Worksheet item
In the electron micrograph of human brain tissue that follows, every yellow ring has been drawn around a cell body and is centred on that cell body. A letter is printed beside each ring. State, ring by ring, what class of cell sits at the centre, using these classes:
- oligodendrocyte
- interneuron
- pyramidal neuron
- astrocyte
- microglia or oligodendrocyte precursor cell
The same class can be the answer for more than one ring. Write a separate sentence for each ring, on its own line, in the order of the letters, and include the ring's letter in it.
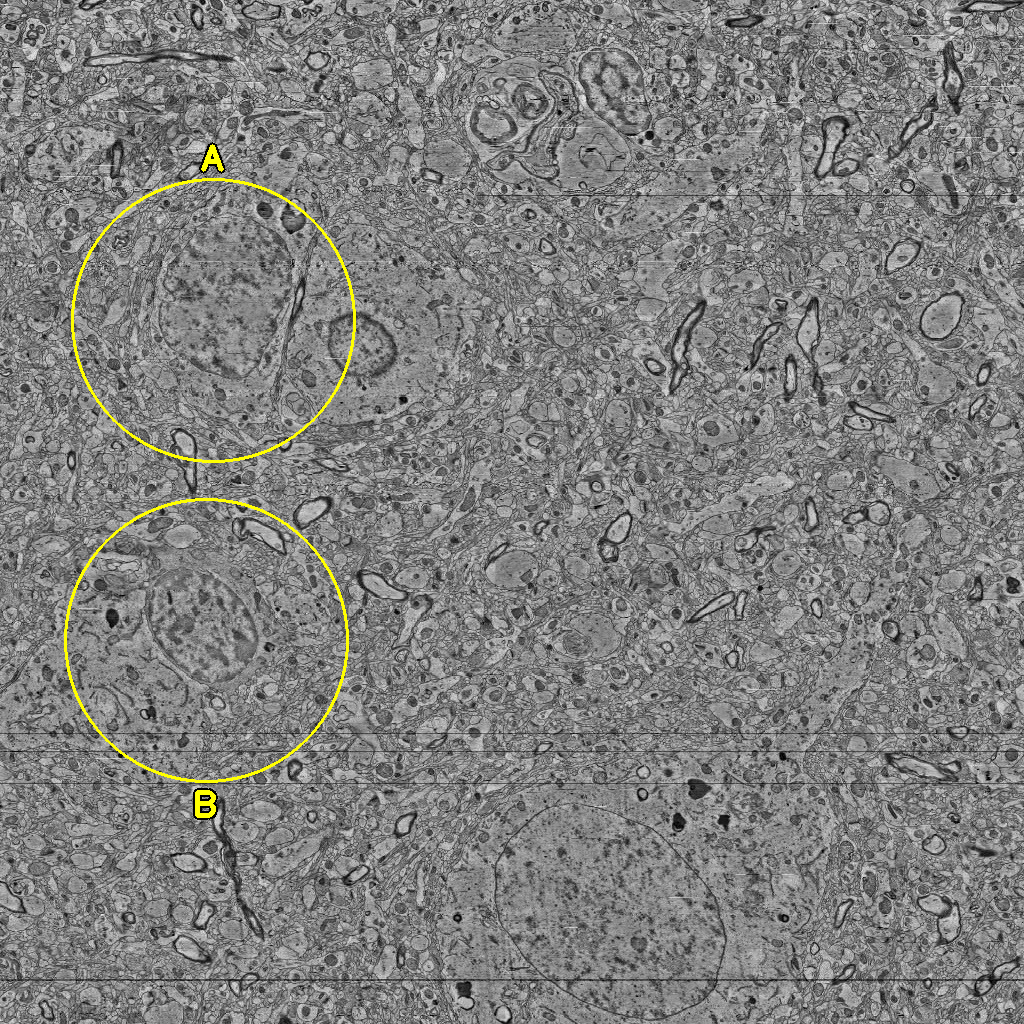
At the centre of ring A sits an interneuron.
At the centre of ring B sits an oligodendrocyte.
